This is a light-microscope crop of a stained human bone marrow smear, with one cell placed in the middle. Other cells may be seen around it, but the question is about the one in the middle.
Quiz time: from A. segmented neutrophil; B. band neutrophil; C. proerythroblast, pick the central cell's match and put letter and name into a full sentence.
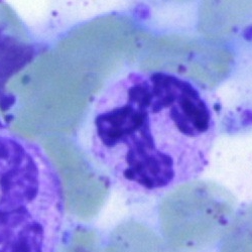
Option A stands as correct, the central cell being a segmented neutrophil.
